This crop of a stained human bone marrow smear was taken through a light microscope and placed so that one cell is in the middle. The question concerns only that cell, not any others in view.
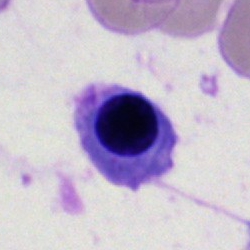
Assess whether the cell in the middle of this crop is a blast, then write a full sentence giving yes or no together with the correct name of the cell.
No, what is centred in the crop is not a blast but an erythroblast.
